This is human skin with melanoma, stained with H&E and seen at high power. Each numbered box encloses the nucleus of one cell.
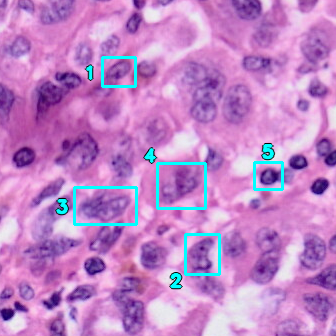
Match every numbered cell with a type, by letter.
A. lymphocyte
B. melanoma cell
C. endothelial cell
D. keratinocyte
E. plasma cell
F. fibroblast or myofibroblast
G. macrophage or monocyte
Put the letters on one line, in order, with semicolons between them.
G; B; B; B; A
